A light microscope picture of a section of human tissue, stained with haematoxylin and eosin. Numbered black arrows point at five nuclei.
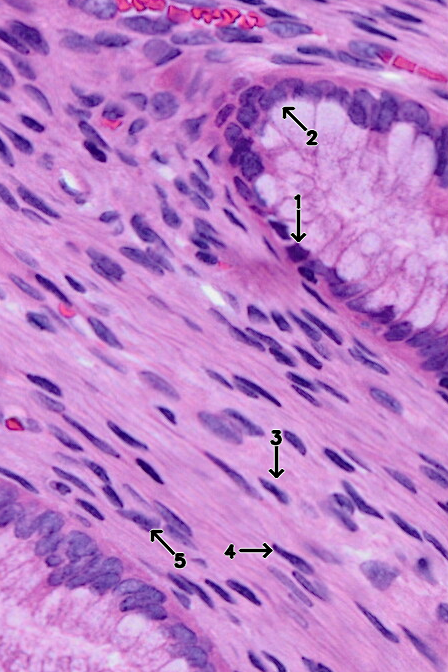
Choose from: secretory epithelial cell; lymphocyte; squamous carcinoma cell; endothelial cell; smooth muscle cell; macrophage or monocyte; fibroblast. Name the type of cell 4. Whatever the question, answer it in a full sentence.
The cell indicated with the number 4 is classed as a fibroblast.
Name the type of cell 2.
The cell that is numbered 2 is a secretory epithelial cell.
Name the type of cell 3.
Heads up, the cell numbered 3 is a fibroblast.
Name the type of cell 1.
Cell 1 in the field of view is a secretory epithelial cell.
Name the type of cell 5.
The cell numbered 5 represents a fibroblast.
